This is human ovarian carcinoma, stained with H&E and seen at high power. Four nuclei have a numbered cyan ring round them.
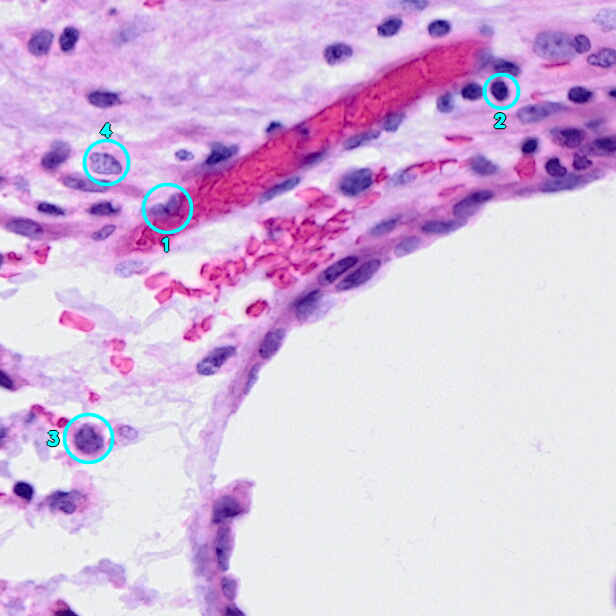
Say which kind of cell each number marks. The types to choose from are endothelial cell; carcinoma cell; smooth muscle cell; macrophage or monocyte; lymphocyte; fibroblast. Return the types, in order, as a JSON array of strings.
["endothelial cell", "lymphocyte", "macrophage or monocyte", "macrophage or monocyte"]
